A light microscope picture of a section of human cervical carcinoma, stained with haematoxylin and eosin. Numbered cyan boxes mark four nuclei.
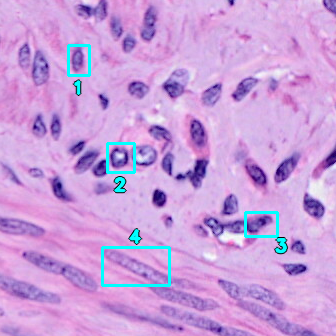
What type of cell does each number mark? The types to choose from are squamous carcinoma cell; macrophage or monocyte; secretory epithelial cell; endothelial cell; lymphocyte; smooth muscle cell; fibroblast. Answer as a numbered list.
1. smooth muscle cell
2. endothelial cell
3. endothelial cell
4. smooth muscle cell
